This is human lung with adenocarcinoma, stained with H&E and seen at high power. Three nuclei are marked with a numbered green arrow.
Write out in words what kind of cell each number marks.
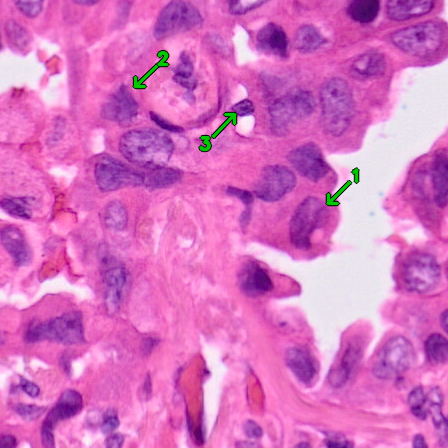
Cells 1 and 2 are carcinoma cells. Cell 3 is a lymphocyte.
